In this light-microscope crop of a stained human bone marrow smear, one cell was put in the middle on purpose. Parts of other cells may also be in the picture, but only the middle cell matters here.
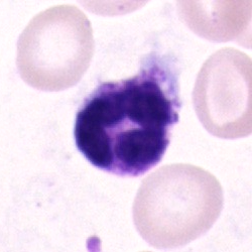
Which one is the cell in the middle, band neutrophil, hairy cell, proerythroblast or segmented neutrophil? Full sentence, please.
Classified as a segmented neutrophil is the cell in the middle of this crop.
